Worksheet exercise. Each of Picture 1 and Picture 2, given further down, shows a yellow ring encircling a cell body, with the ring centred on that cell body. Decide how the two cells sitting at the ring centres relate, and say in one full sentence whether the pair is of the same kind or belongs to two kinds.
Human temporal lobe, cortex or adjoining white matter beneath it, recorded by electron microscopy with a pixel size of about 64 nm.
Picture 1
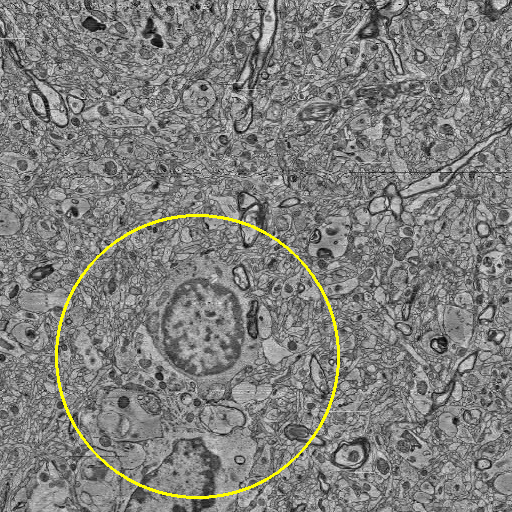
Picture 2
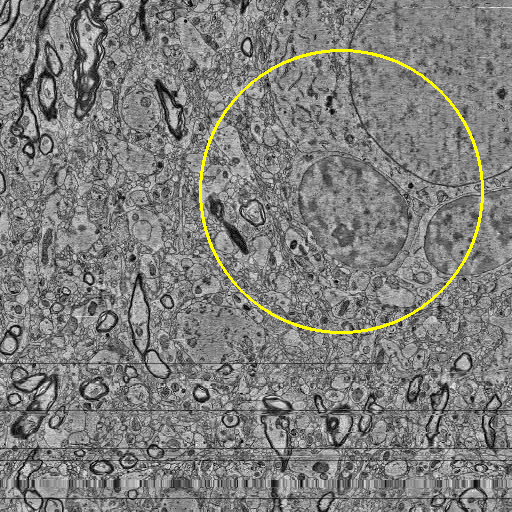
The cells at the ring centres in Picture 1 and Picture 2 are of the same kind.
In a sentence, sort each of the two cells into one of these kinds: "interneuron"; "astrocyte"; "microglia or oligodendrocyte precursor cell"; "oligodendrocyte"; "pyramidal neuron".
In each picture the ringed cell is an oligodendrocyte.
